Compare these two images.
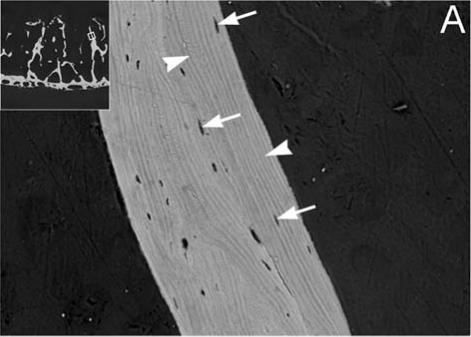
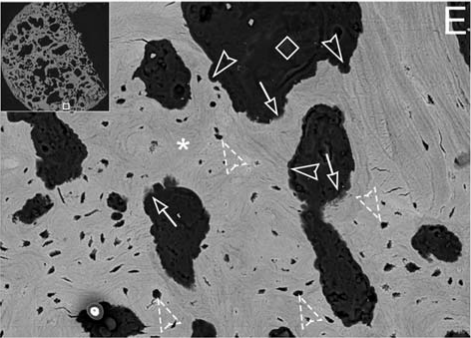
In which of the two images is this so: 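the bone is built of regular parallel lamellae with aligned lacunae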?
The first image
